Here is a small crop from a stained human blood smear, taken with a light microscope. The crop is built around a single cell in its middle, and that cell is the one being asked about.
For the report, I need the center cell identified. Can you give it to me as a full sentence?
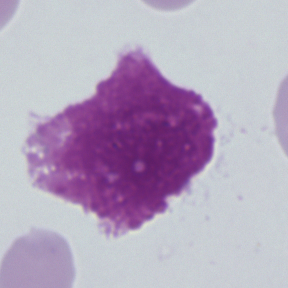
Regarding the central cell, it is a smudge cell.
